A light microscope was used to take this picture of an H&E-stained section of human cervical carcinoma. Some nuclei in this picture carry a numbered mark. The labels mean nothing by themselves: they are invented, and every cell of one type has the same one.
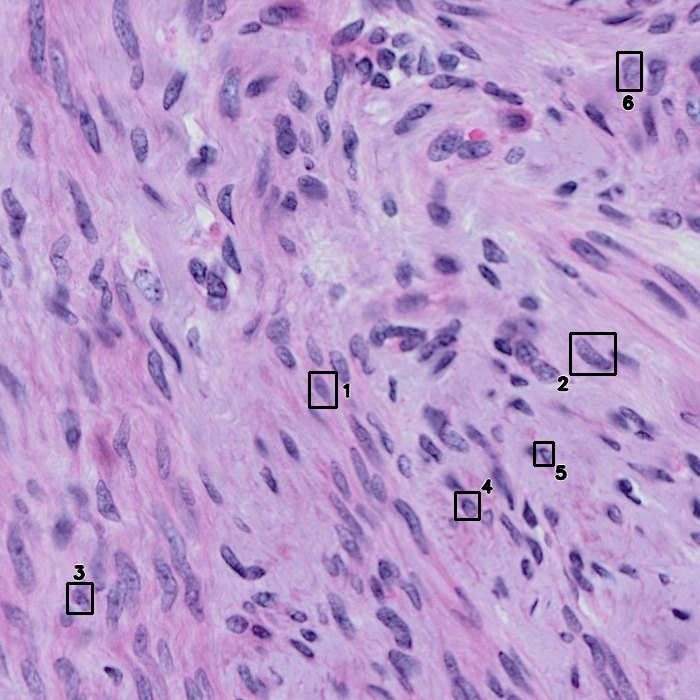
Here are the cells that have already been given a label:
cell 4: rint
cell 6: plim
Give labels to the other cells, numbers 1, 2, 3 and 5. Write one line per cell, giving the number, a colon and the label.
1: rint
2: plim
3: rint
5: rint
